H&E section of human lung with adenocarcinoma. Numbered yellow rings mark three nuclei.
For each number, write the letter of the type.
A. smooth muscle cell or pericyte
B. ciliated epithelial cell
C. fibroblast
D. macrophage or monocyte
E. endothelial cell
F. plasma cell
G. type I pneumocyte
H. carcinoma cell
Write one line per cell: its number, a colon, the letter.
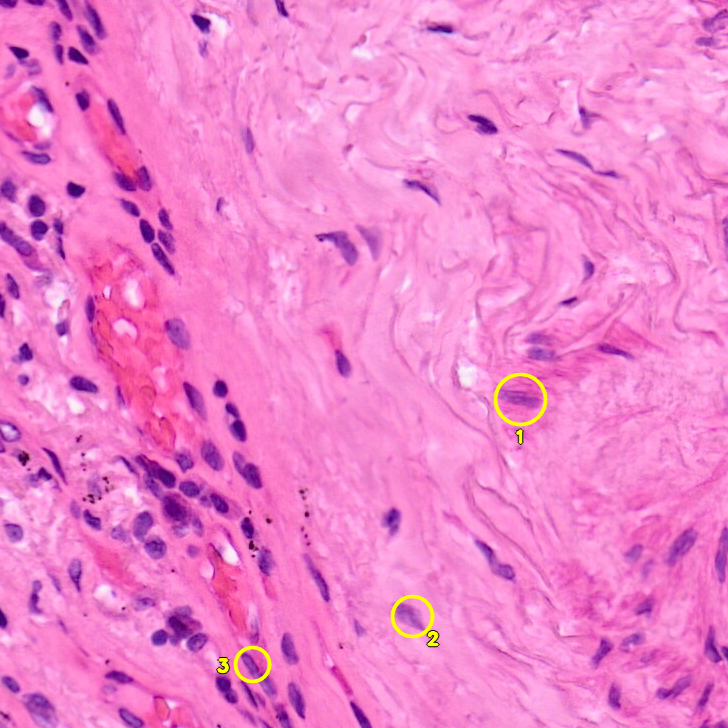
1: A
2: C
3: E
